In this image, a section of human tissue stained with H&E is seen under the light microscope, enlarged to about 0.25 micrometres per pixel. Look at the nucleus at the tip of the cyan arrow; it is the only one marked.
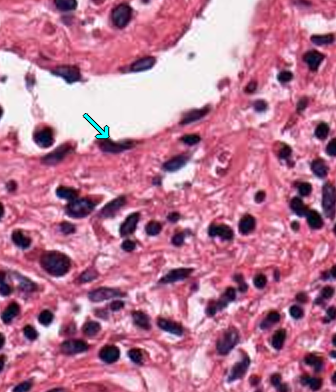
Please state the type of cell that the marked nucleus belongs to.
endothelial cell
